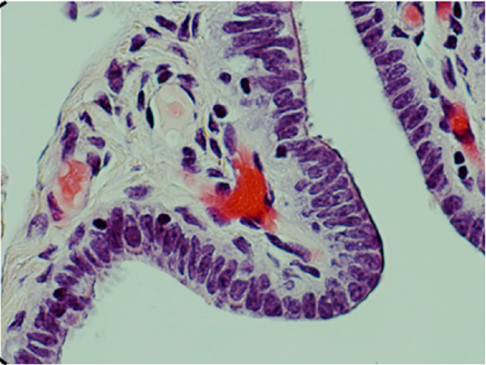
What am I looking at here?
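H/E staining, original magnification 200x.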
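High-power view of a mucosal fold of the fallopian tube lined by a single layer of tall columnar epithelial cells. The epithelial nuclei are oval, dark purple and closely crowded, sitting at varying heights so the lining looks partly pseudostratified. The fold has a core of loose, pale stroma with scattered spindle and oval nuclei. Small vessels in the core are packed with bright red erythrocytes. The nuclei look fairly uniform in size and shape, without marked atypia.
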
